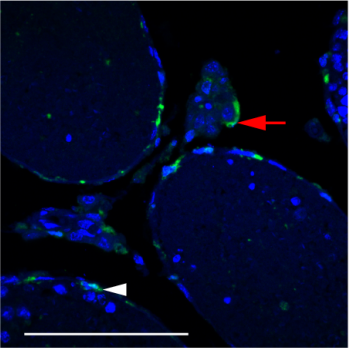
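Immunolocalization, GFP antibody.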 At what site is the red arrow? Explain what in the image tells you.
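The arrow points at a small group of cells lying outside the rounded tubules. The cells sit in the space between tubules. On this evidence: interstitium.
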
